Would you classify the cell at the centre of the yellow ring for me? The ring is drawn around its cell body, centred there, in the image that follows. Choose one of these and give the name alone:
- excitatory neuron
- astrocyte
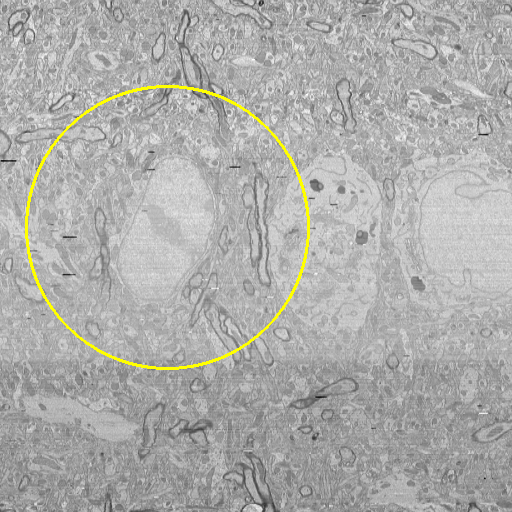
astrocyte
